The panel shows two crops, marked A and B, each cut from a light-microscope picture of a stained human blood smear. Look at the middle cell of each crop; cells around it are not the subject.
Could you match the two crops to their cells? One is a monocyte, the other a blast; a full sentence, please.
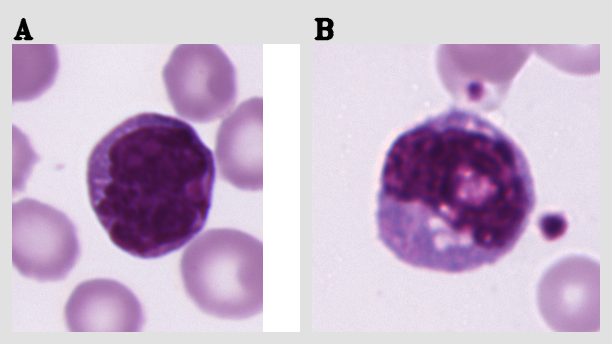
Among the crops, crop A is a blast and crop B is a monocyte.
